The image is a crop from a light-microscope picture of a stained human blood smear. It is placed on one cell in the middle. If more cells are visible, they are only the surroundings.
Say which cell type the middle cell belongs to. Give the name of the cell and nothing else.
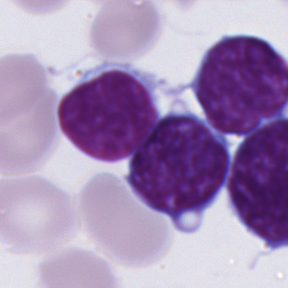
myeloblast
